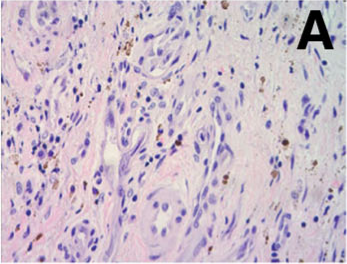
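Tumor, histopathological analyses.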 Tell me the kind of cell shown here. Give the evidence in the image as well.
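Many cells have elongated, tapered nuclei. The elongated cells lie in a pale pink fibrous stroma. Small slit-like vessels lie between them. On this evidence: spindle cells.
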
